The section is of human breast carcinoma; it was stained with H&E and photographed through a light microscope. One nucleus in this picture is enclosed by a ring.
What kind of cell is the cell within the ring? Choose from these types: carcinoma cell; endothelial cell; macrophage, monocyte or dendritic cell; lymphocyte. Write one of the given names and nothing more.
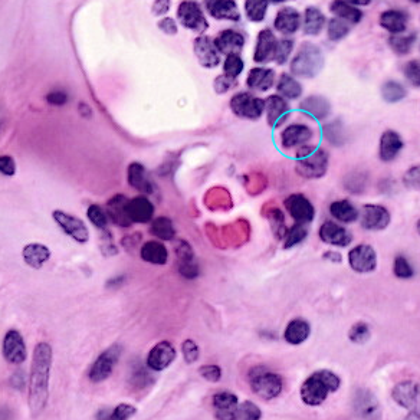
lymphocyte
